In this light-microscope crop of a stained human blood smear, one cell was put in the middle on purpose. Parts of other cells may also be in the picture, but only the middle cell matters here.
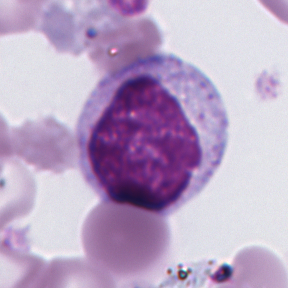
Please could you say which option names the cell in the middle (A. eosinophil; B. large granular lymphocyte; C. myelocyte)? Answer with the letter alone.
C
